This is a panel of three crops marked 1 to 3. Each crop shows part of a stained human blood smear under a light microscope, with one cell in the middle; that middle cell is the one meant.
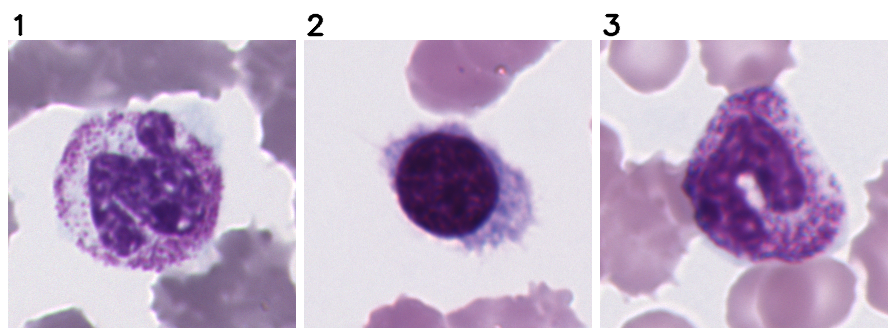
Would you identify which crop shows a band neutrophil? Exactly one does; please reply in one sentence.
Crop 3, and no other, shows a band neutrophil.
